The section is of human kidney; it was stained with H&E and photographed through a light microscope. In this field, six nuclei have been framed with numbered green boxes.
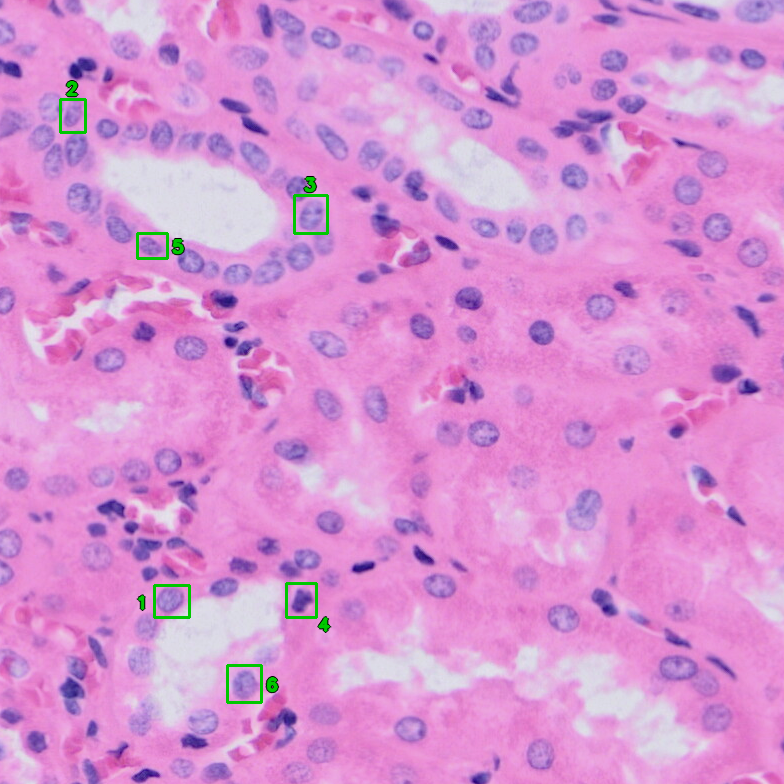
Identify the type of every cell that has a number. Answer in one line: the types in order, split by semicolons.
loop of Henle or distal tubule cell; collecting duct cell; collecting duct cell; loop of Henle or distal tubule cell; collecting duct cell; loop of Henle or distal tubule cell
